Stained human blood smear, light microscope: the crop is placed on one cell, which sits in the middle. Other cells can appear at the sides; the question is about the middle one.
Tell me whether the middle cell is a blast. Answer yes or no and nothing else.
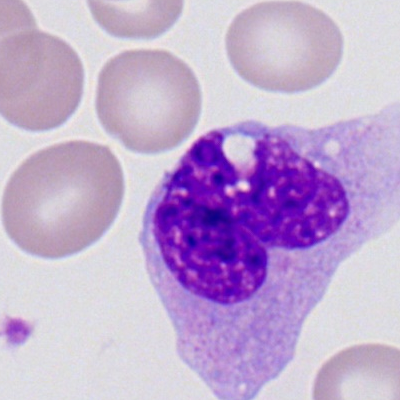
no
